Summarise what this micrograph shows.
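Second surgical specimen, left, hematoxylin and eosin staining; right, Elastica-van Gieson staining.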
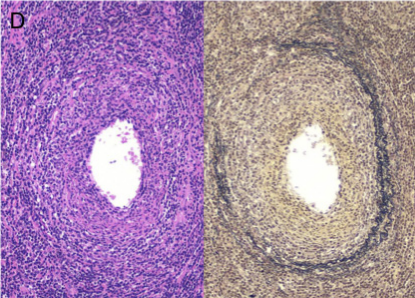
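A vessel cut in cross-section with an open round lumen is shown in pink and purple on one side and in a brownish stain on the other, where a dark black ring outlines its wall. The wall and the tissue around it are crowded with small dark round nuclei lying in concentric layers around the lumen, so the vascular wall is infiltrated by lymphocytes.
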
